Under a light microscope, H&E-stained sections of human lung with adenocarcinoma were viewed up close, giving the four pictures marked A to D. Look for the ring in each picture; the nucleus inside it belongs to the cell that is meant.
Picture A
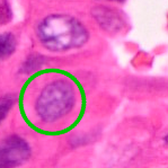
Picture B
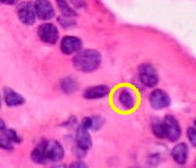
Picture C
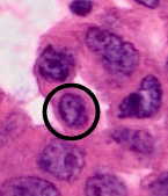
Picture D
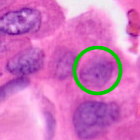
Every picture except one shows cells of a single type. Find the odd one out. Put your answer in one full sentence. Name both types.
All pictures except B show carcinoma cells; picture B shows a lymphocyte.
